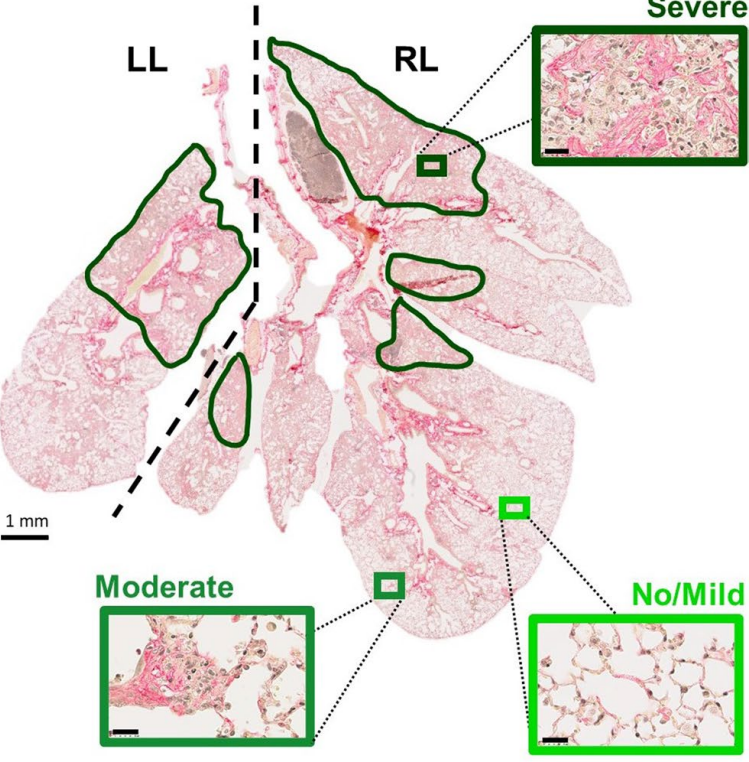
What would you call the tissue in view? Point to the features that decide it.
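Lobes of spongy parenchyma made of many small thin-walled airspaces. Branching airways and vessels run from a central hilum into the lobes. The answer: lung.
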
